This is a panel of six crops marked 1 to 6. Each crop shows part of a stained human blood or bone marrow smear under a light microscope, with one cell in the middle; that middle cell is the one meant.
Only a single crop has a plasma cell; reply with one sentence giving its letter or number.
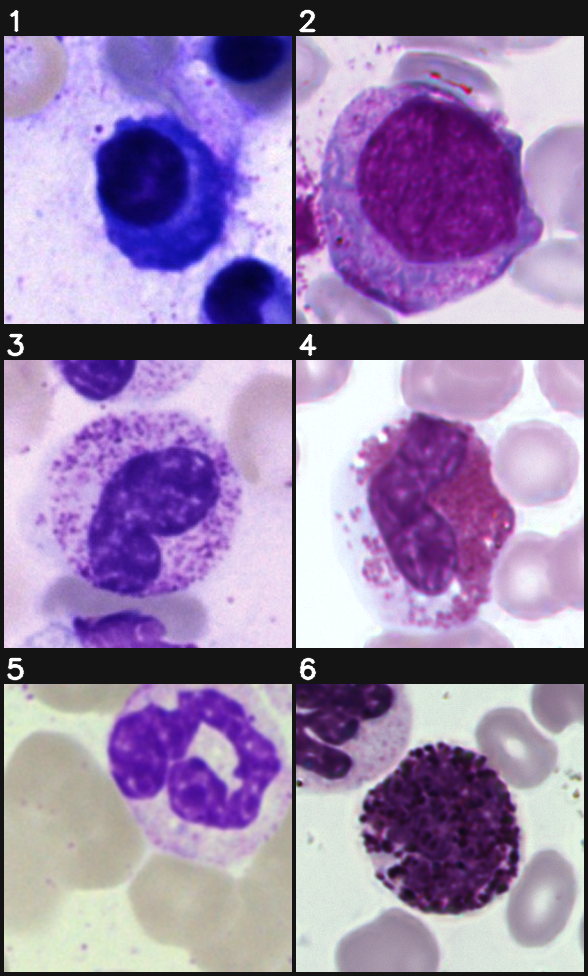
Crop 1 is the one to choose: it shows a plasma cell.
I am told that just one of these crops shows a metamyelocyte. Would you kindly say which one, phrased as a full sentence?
Crop 3 is the correct crop, and it shows a metamyelocyte.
